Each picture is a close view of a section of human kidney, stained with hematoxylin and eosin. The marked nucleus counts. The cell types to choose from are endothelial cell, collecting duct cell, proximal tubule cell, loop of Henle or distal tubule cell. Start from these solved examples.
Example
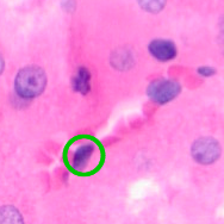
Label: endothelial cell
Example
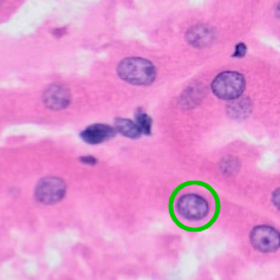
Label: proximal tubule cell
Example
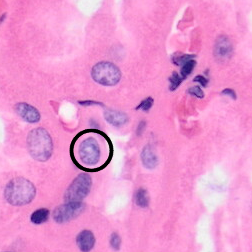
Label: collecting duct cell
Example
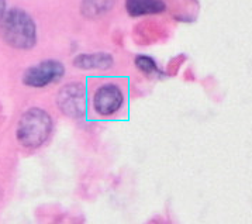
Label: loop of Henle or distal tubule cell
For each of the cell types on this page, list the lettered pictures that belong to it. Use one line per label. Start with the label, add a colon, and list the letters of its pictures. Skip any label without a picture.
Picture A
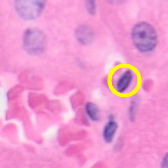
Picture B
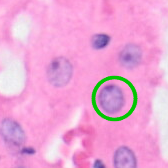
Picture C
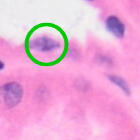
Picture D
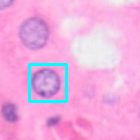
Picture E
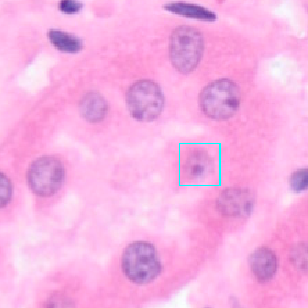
endothelial cell: A
proximal tubule cell: B, D, E
loop of Henle or distal tubule cell: C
